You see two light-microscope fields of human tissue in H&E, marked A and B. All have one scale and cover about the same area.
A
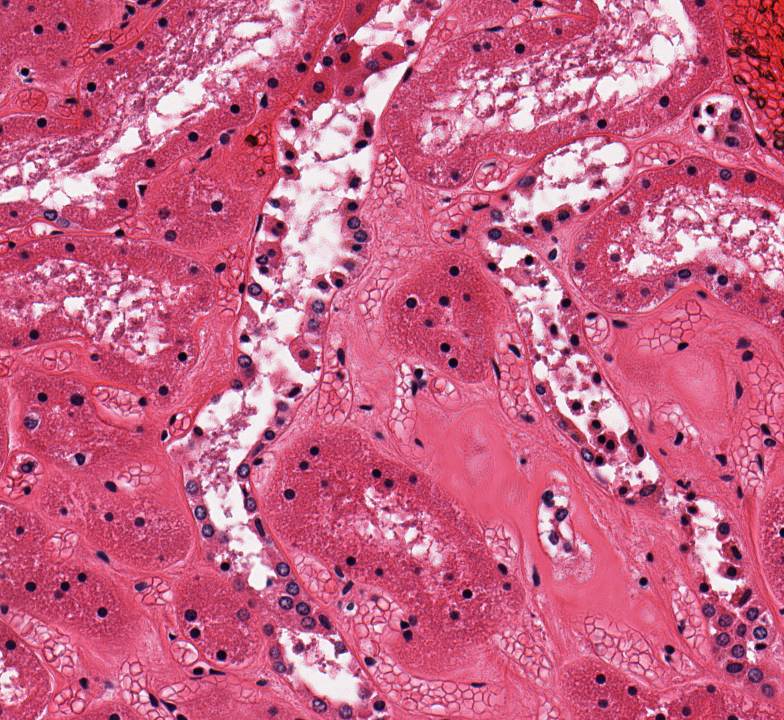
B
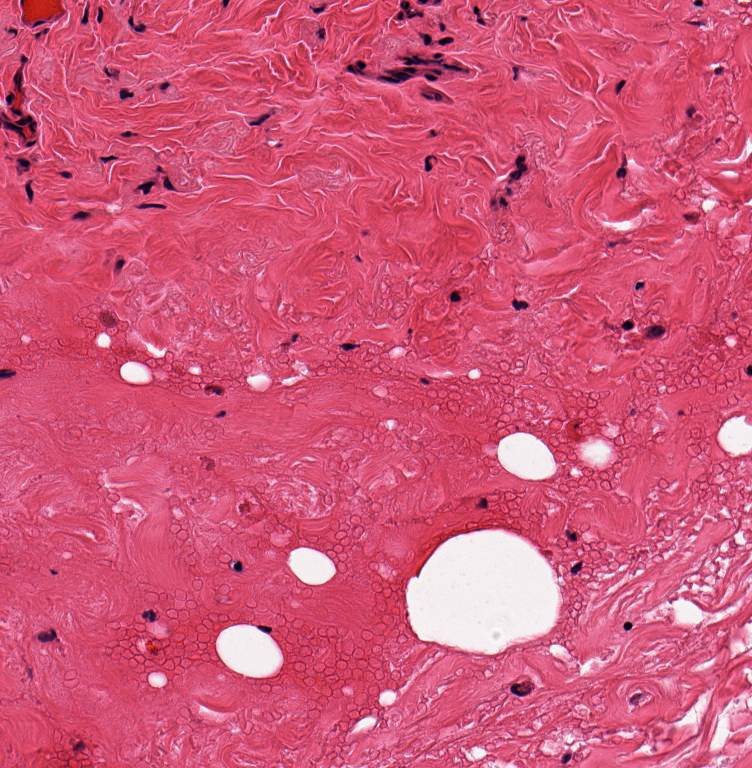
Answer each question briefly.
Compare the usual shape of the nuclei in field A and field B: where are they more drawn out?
B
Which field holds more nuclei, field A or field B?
A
